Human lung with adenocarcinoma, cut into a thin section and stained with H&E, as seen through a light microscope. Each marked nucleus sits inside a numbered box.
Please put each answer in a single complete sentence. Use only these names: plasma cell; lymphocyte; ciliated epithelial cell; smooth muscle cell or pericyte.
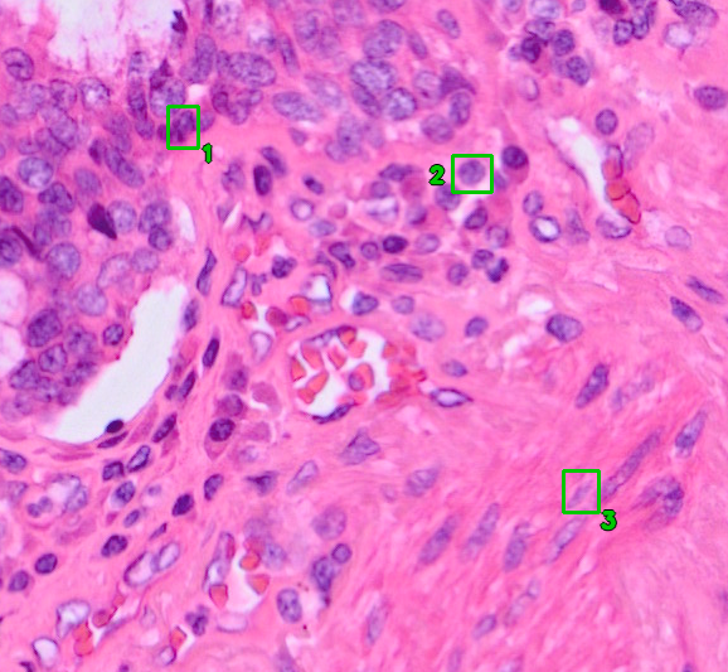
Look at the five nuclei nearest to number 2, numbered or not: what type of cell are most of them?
Of the five nuclei nearest to number 2, most belong to plasma cells.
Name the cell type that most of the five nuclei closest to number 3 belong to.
Of the five nuclei nearest to number 3, most belong to smooth muscle cells or pericytes.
